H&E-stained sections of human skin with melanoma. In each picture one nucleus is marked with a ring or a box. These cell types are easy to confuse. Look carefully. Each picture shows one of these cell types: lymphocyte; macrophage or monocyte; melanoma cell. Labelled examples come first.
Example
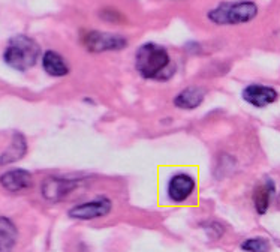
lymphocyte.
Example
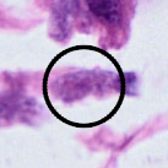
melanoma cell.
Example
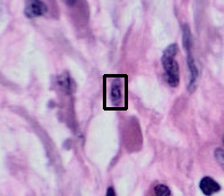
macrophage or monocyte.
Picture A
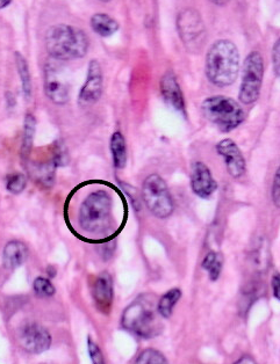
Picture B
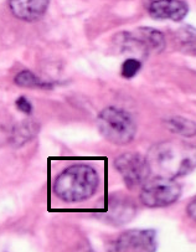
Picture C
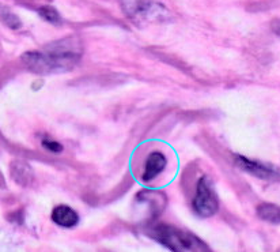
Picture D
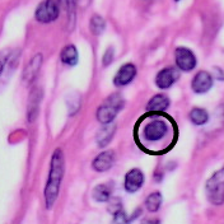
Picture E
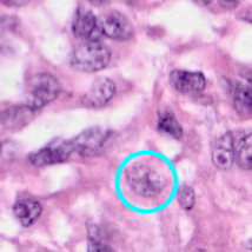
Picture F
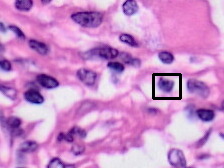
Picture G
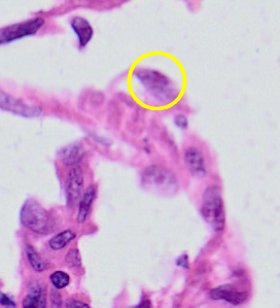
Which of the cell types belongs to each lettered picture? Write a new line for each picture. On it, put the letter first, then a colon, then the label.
A: melanoma cell.
B: melanoma cell.
C: lymphocyte.
D: lymphocyte.
E: melanoma cell.
F: lymphocyte.
G: melanoma cell.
